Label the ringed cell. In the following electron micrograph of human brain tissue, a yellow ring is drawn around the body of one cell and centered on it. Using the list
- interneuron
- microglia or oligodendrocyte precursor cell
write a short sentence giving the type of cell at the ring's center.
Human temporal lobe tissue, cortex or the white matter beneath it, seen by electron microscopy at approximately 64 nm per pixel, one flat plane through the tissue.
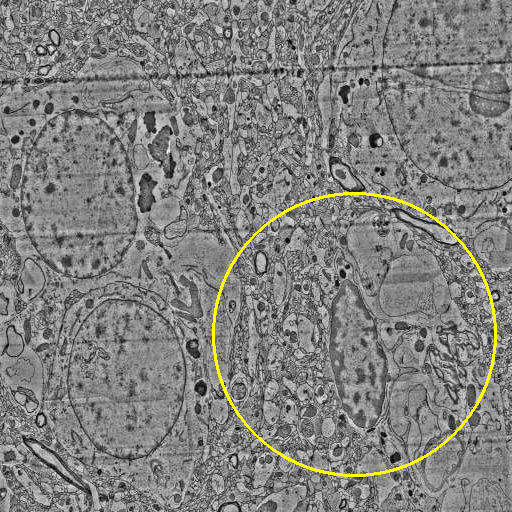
The cell body at the ring's center is that of a microglial cell or oligodendrocyte precursor cell.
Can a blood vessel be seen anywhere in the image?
Yes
